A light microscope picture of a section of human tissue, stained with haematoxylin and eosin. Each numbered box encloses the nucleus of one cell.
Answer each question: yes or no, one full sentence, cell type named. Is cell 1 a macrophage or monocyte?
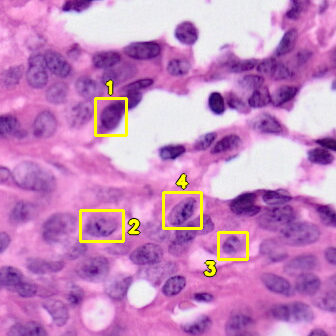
No, the cell with number 1 is not a macrophage or monocyte but a carcinoma cell.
